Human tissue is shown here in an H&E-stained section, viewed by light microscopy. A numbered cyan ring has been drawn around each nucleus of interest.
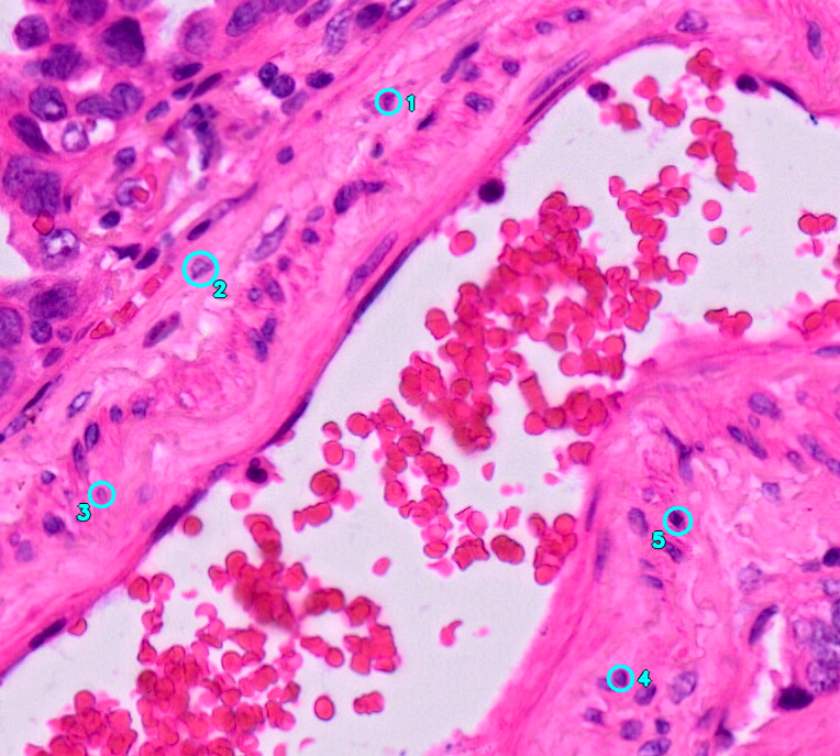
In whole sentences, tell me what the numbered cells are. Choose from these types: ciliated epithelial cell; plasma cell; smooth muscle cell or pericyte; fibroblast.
Cell 1 is a plasma cell, cell 2 is a fibroblast, cell 3 is a smooth muscle cell or pericyte, cell 4 is a smooth muscle cell or pericyte and cell 5 is a smooth muscle cell or pericyte.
